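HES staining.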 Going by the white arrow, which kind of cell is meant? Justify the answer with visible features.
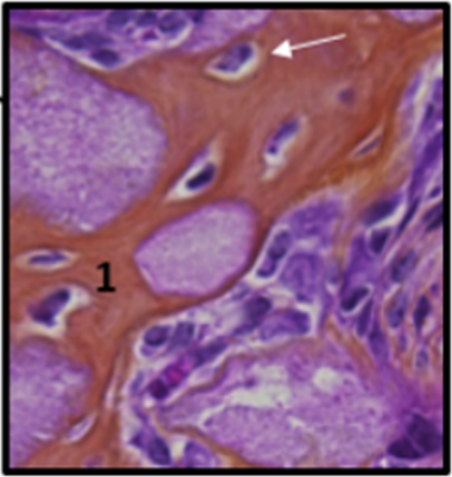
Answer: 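Osteocytes. A single cell with a dark nucleus lies inside the orange matrix. The cell sits in a small clear space surrounded by matrix.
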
